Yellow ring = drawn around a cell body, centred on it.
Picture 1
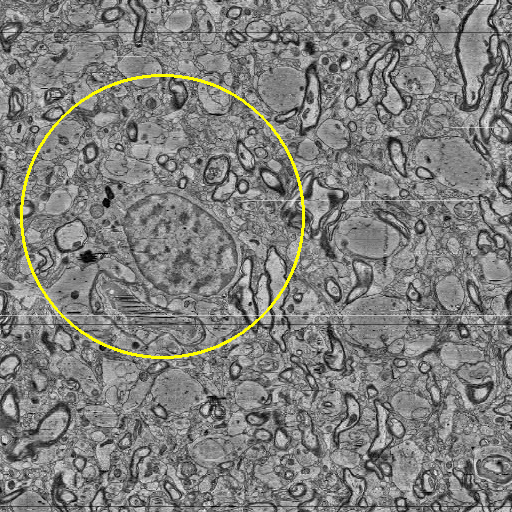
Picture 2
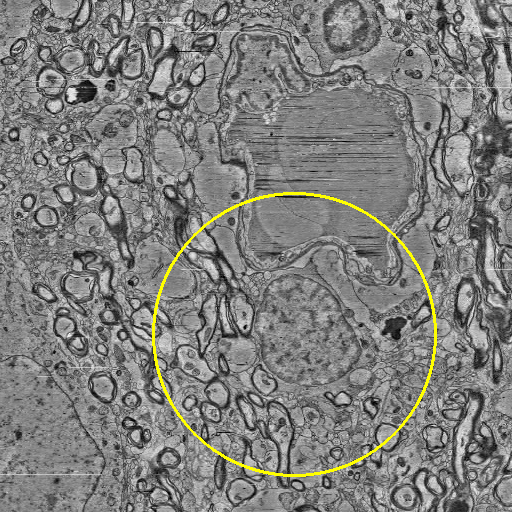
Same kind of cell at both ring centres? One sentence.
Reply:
Yes, they are the same kind of cell.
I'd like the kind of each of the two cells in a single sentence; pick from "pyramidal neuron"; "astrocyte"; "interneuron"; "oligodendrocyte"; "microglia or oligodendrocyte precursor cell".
Both cells are the same kind, each one being an oligodendrocyte.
